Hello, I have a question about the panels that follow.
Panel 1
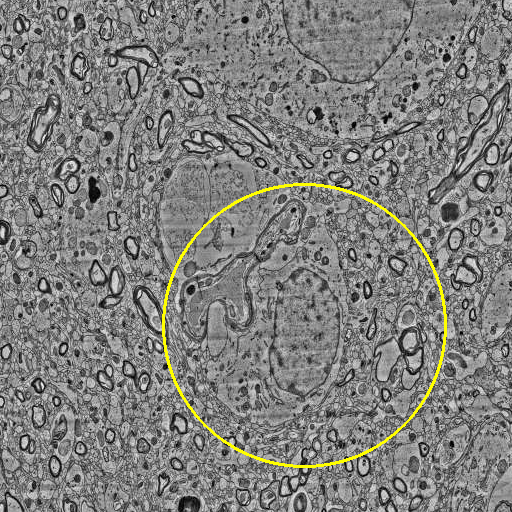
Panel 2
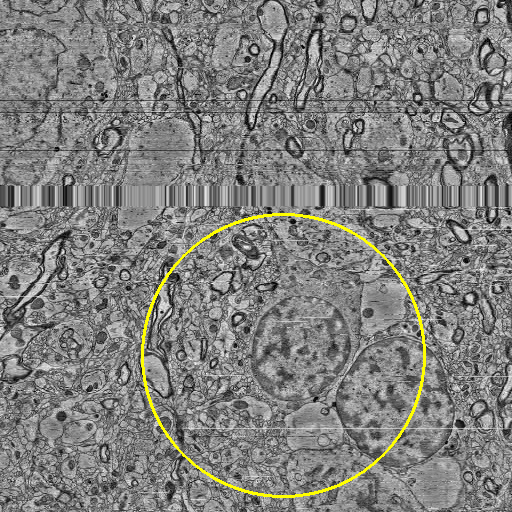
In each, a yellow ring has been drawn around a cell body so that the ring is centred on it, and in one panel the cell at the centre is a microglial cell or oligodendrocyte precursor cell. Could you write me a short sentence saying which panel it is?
It is Panel 1.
